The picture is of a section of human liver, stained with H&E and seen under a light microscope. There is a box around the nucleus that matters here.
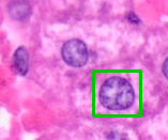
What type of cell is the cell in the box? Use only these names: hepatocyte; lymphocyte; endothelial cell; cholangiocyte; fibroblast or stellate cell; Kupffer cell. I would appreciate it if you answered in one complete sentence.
Placed in its cell category, the cell in the box is a hepatocyte.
